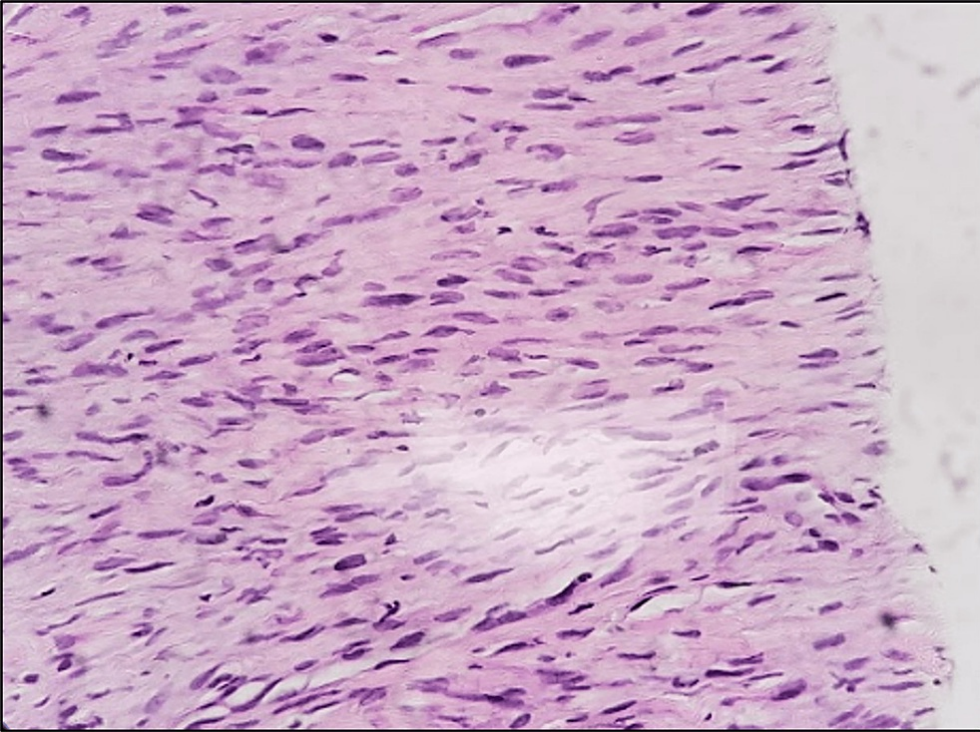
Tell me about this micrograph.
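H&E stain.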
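This is a solid sheet of spindle cells arranged in parallel, streaming bundles, with moderate cellularity and no other tissue structures between them. The nuclei are dark purple, elongated to ovoid with dense chromatin, and vary somewhat in size and shape. The pink cytoplasm blends from cell to cell without clear borders.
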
